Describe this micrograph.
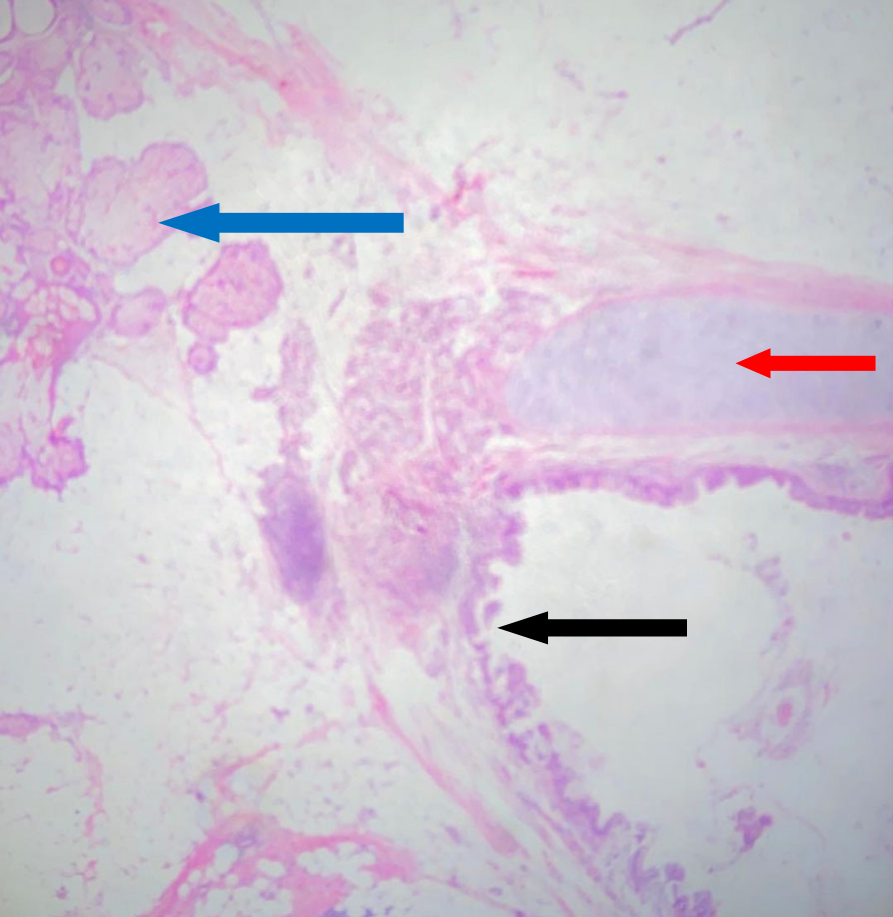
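This low-power section of the wall of a cyst shows several tissues side by side: lobulated pale pink sebaceous glands at the upper left, an elongated island of cartilage with smooth pale bluish-purple matrix on the right, and a purple epithelial lining along the edge of a cystic space below it. The cartilage is wrapped in a thin pink fibrous rim, and the lining epithelium runs as an undulating band of crowded nuclei down toward the bottom. Between them lies loose, pale fibrous stroma with scattered purple cellular patches.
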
